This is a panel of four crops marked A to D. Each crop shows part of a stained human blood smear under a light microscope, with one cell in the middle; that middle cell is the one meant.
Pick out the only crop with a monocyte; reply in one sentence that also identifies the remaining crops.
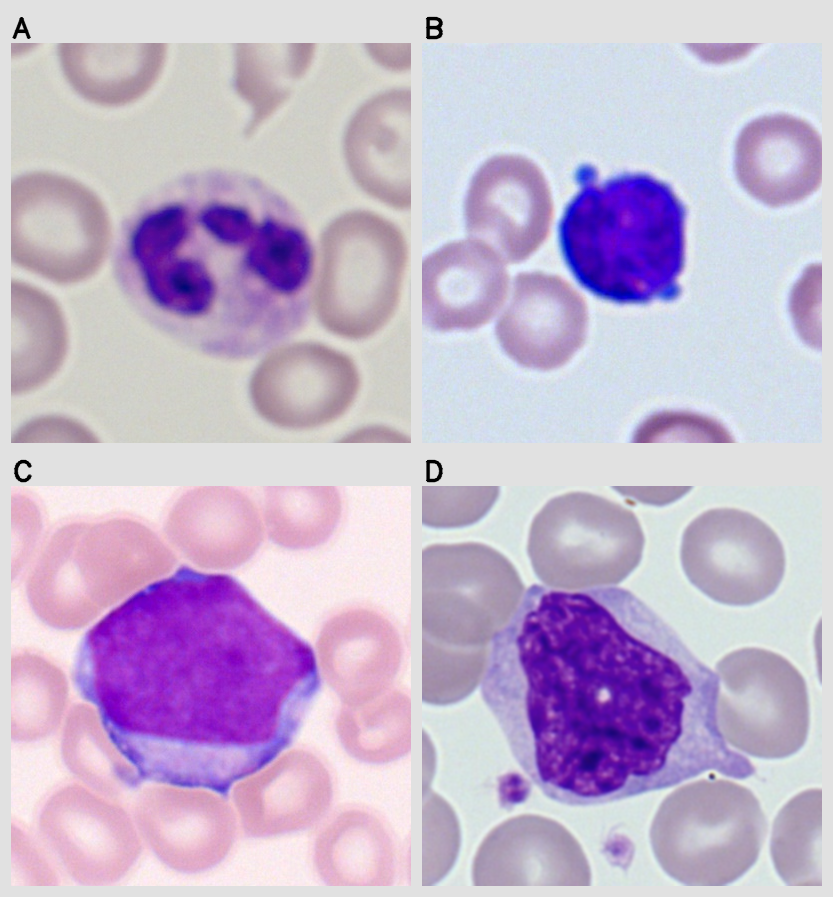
Crop D corresponds to a monocyte, while crop A is a segmented neutrophil, crop B is a lymphocyte and crop C is a myeloblast.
